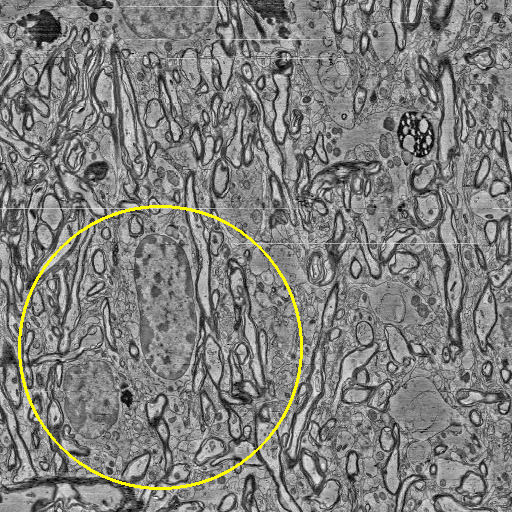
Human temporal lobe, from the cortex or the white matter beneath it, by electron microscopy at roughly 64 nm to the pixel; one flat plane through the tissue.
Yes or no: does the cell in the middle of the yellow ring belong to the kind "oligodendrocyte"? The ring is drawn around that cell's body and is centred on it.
no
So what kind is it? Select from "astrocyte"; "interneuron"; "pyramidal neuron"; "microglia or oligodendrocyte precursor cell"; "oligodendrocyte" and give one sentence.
It is a microglial cell or oligodendrocyte precursor cell that the ring is centred on.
